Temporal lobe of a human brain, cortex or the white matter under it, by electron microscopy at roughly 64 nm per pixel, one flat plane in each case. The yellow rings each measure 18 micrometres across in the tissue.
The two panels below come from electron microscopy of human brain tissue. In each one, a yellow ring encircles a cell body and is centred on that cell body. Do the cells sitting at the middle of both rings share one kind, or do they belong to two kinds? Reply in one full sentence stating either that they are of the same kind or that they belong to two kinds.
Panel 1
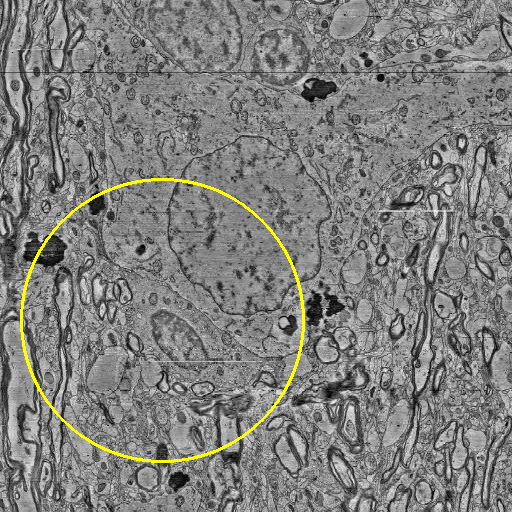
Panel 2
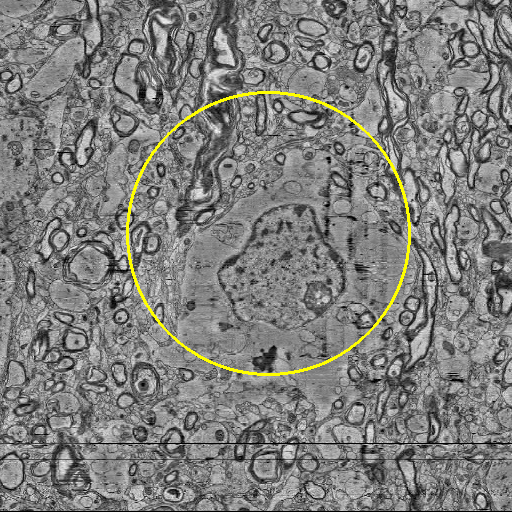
The cells at the centres of the two rings belong to two kinds.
